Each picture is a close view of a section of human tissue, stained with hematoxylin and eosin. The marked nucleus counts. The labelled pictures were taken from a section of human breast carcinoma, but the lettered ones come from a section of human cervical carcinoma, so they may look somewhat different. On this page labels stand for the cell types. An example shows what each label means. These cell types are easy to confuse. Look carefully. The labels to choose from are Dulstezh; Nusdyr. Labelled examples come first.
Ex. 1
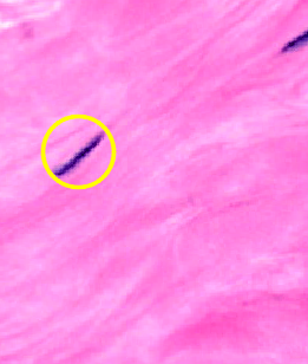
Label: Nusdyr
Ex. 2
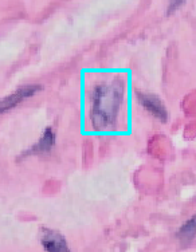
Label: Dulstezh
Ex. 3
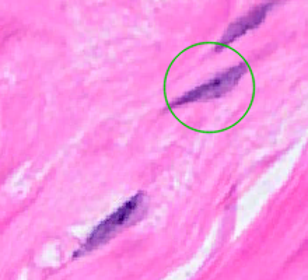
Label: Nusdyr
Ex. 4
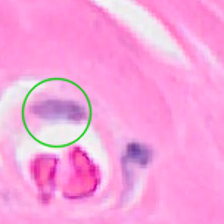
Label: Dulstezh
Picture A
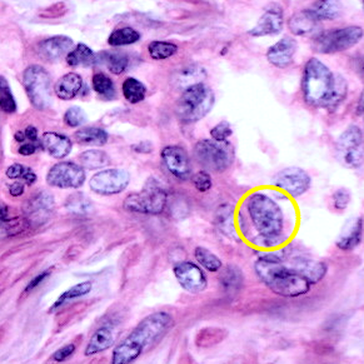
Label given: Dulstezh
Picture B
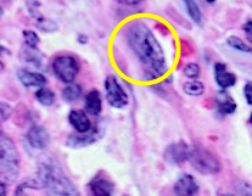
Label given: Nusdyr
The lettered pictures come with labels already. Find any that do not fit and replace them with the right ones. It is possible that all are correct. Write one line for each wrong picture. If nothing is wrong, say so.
B: Dulstezh, not Nusdyr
